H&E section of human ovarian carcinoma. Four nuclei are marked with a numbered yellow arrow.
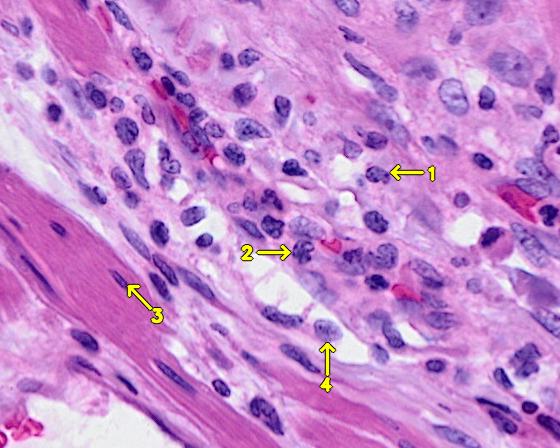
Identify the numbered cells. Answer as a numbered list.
1. lymphocyte
2. lymphocyte
3. smooth muscle cell
4. macrophage or monocyte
